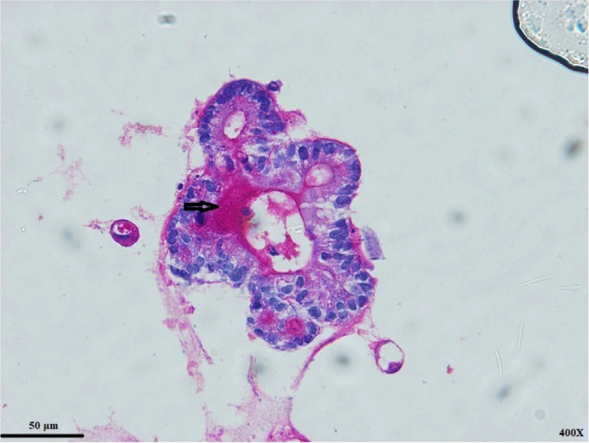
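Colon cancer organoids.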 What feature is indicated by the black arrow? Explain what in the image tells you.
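Goblet cell mucus. The arrow points to intense magenta material next to a central lumen. Magenta material also lines and lies within the lumen, surrounded by a layer of cells with purple nuclei.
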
